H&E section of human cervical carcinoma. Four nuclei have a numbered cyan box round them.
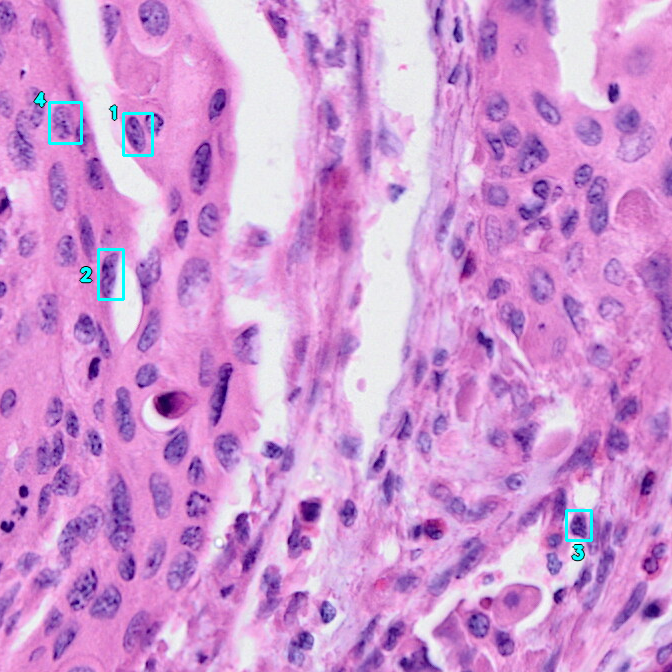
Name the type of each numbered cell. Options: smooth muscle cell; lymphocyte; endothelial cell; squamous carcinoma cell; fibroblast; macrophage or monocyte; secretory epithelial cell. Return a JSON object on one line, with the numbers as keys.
{"1": "squamous carcinoma cell", "2": "squamous carcinoma cell", "3": "lymphocyte", "4": "squamous carcinoma cell"}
